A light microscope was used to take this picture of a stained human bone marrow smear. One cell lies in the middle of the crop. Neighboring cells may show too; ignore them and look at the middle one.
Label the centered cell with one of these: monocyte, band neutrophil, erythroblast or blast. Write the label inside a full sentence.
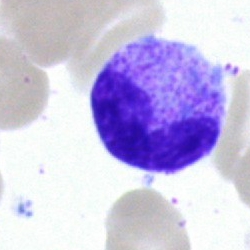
Looking at the middle of the crop, the cell there is a band neutrophil.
